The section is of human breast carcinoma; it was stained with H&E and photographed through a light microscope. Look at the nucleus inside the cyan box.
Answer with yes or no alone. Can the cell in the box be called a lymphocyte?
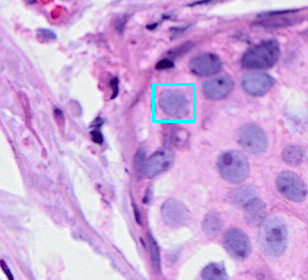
no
